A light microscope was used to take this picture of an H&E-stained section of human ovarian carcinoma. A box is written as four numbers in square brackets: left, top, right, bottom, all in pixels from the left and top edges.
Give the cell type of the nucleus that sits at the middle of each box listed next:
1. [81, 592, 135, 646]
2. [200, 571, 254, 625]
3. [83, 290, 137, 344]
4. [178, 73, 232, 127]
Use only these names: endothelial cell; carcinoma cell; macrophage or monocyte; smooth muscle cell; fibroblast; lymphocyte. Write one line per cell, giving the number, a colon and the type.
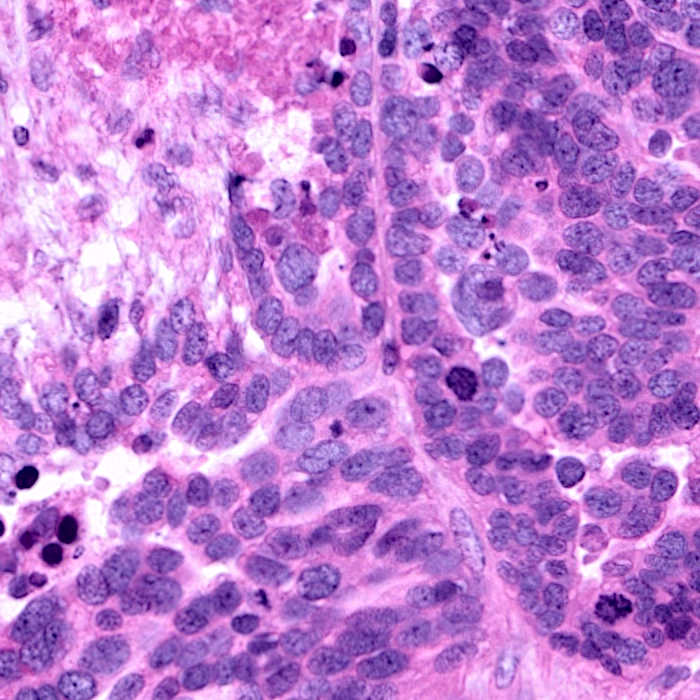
1: carcinoma cell
2: carcinoma cell
3: macrophage or monocyte
4: fibroblast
